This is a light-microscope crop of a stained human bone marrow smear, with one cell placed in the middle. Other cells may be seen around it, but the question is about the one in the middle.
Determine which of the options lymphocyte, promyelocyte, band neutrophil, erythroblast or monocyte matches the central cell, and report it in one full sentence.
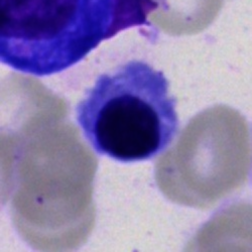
In this smear crop, the middle cell is an erythroblast.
